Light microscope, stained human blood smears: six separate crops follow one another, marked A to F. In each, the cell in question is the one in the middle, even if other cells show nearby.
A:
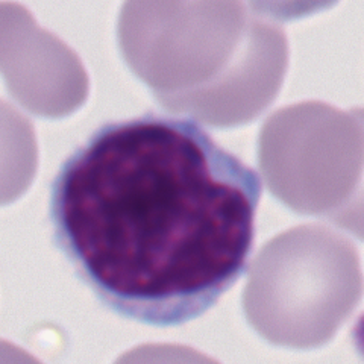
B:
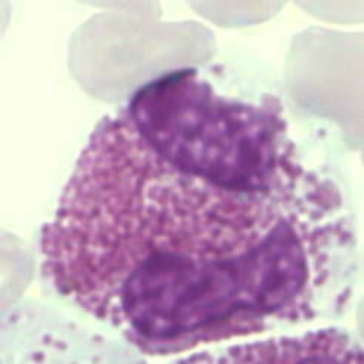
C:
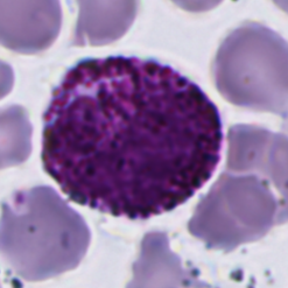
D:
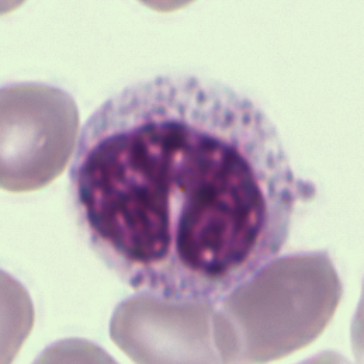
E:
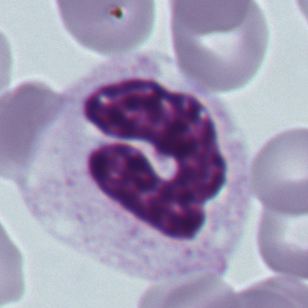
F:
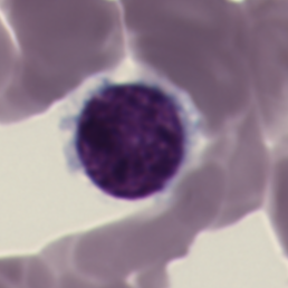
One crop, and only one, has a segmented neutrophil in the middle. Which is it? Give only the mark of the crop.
E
